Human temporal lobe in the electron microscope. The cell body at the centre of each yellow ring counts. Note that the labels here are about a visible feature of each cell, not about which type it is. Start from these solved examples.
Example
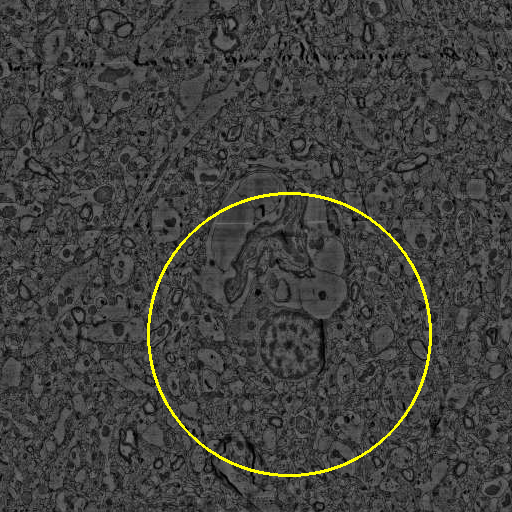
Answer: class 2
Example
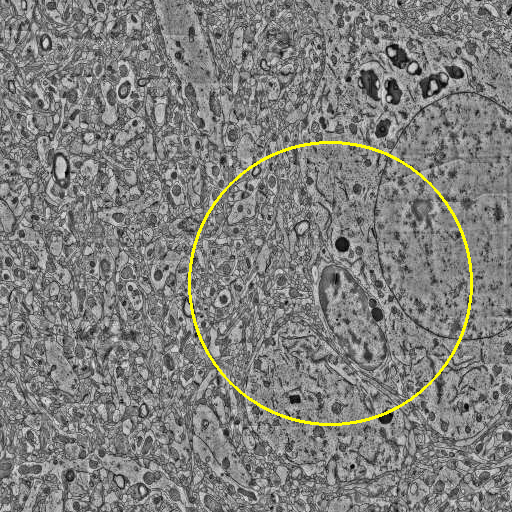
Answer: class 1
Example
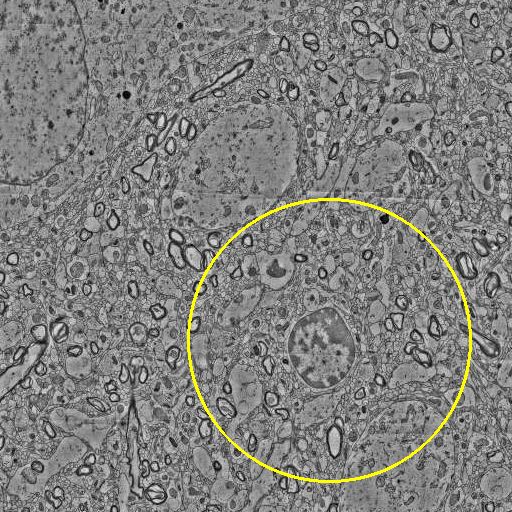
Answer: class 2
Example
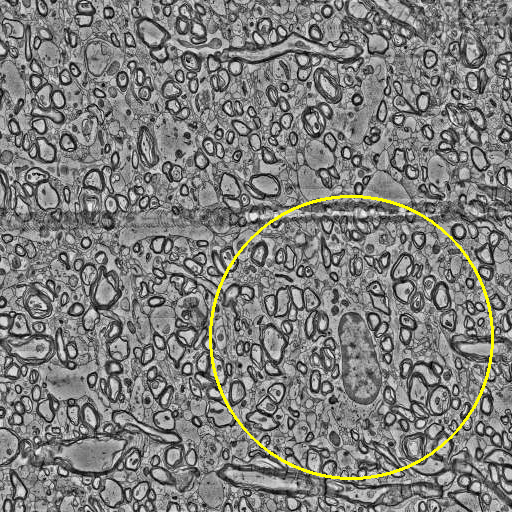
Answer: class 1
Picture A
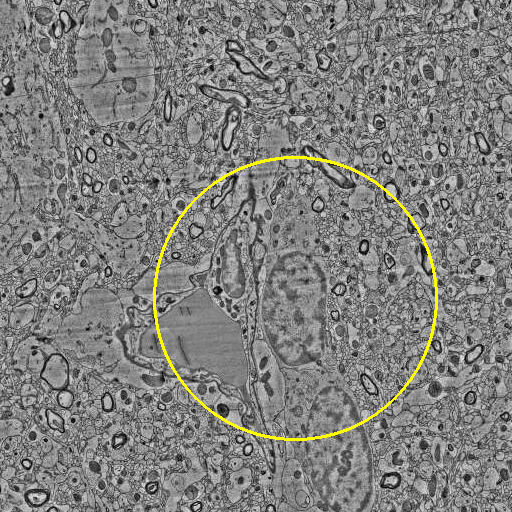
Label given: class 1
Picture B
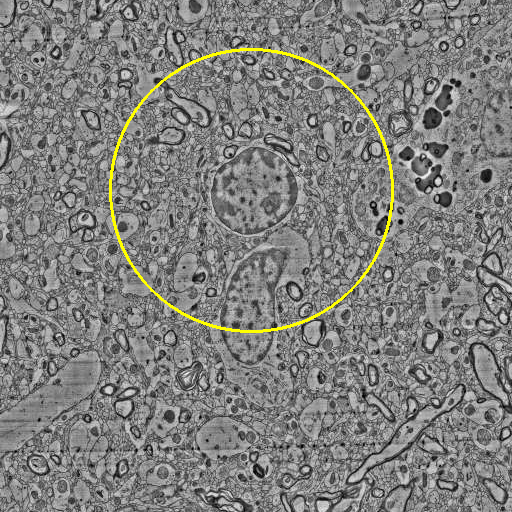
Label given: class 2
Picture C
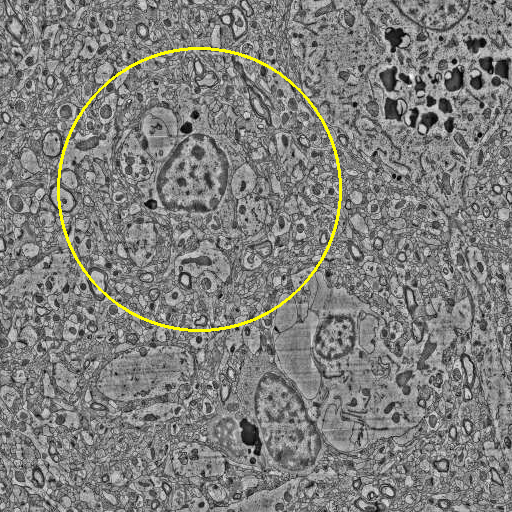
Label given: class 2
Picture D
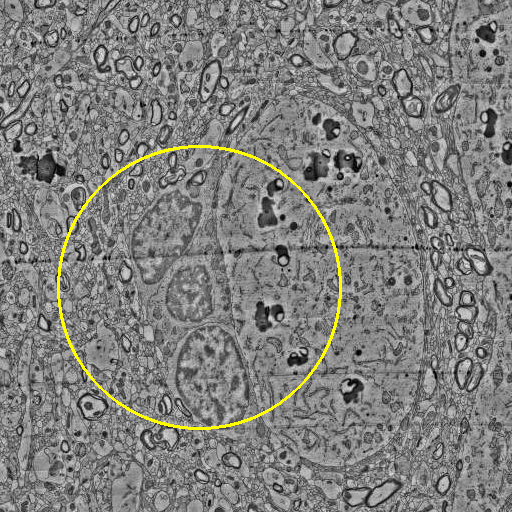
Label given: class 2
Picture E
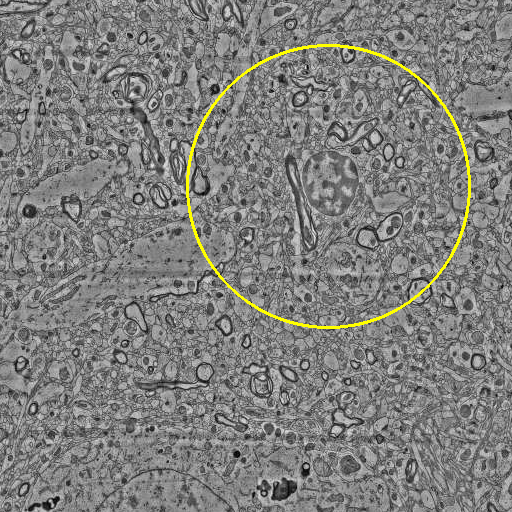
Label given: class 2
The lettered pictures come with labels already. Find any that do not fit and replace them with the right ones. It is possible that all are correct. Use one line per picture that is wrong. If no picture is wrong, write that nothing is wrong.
Every label is right.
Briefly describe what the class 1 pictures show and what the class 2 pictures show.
class 1, clearly elongated nuclei; class 2, round or nearly round nuclei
